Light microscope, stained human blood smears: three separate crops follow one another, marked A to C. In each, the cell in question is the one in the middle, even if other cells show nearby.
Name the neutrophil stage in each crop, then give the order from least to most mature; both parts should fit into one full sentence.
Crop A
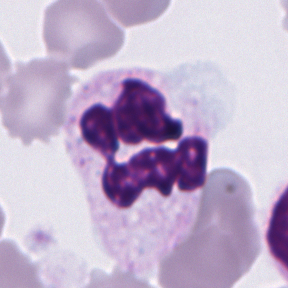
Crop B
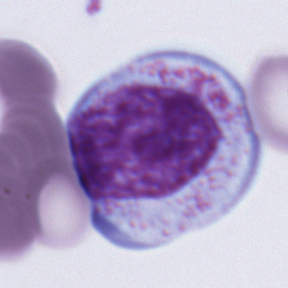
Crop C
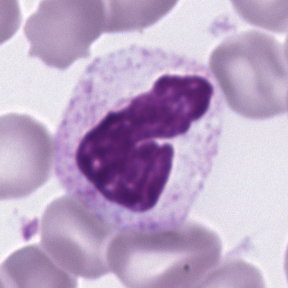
In order of increasing maturity, the crops run crop B (a myelocyte), crop C (a band neutrophil) and crop A (a segmented neutrophil).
